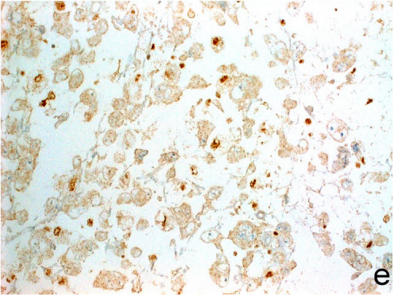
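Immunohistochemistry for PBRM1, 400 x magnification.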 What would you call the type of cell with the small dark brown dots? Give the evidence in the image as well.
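Small round nuclei stain dark brown. These small cells lie among much larger cells whose nuclei stay pale. On this evidence: inflammatory cells.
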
